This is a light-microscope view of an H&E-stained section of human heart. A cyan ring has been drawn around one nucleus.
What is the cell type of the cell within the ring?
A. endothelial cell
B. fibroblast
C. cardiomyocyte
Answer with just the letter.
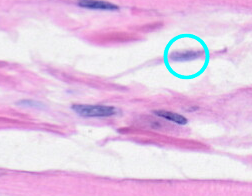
B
